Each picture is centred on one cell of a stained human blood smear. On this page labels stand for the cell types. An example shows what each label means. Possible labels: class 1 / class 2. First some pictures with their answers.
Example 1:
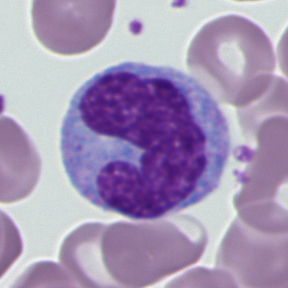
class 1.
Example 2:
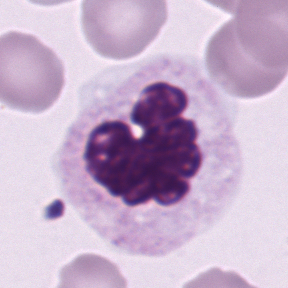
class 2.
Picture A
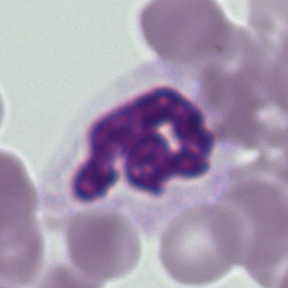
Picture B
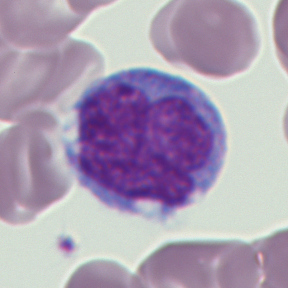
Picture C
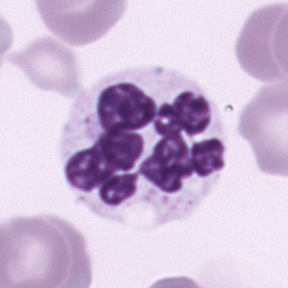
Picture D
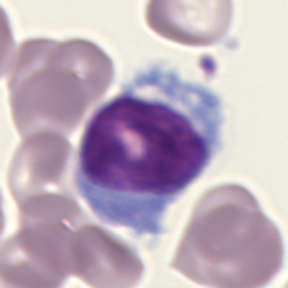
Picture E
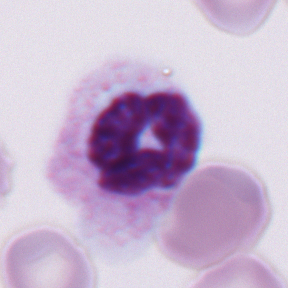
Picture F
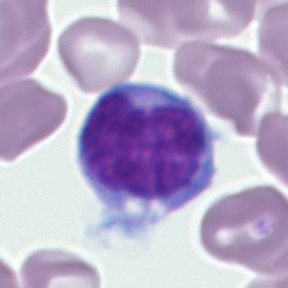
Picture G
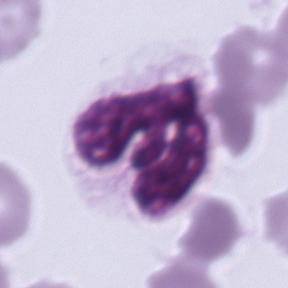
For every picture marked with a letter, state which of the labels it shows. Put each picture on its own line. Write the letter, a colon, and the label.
A: class 2.
B: class 1.
C: class 2.
D: class 1.
E: class 2.
F: class 1.
G: class 2.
